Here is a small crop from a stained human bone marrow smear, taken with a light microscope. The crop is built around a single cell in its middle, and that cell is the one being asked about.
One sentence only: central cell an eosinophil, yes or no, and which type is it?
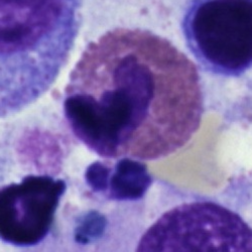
Yes, the middle cell is properly termed an eosinophil.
